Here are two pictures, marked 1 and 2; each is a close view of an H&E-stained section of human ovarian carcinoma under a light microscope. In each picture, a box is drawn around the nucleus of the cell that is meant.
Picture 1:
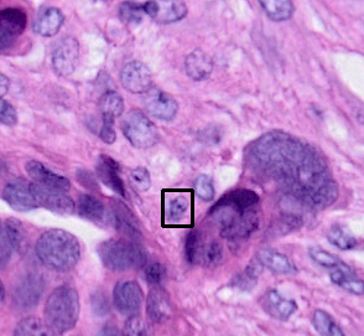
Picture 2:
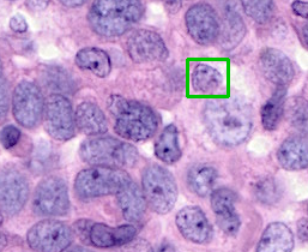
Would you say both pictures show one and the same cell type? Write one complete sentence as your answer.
Yes, both cells are “macrophages or monocytes”.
